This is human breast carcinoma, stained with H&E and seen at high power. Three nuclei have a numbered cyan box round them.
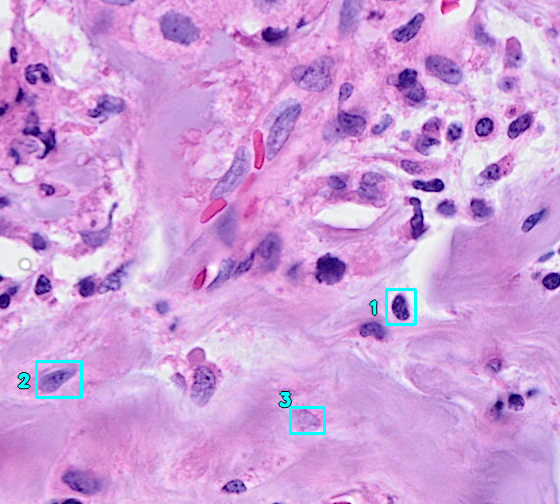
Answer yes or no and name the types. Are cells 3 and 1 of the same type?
No, cell 3 is a fibroblast and cell 1 is a lymphocyte.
